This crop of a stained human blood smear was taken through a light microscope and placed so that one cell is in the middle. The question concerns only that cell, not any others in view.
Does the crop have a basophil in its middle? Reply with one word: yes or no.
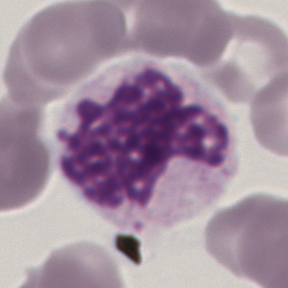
no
